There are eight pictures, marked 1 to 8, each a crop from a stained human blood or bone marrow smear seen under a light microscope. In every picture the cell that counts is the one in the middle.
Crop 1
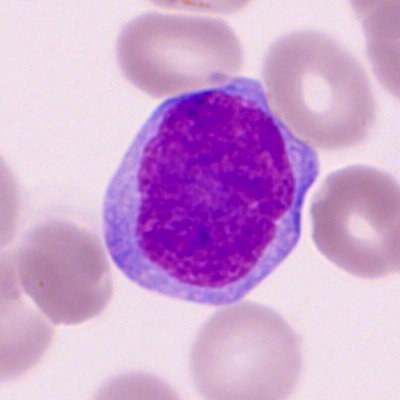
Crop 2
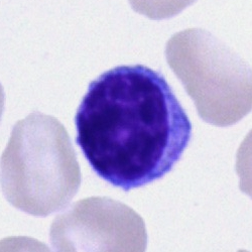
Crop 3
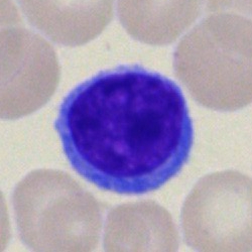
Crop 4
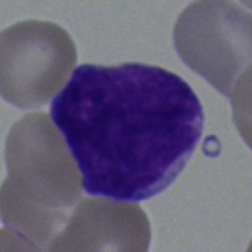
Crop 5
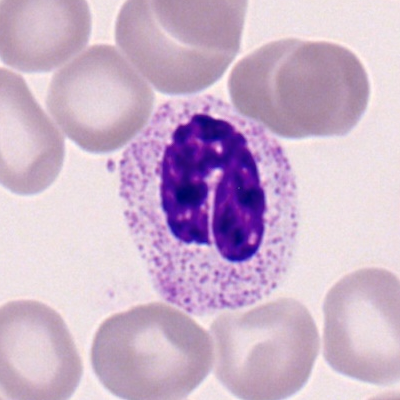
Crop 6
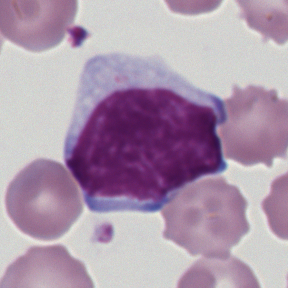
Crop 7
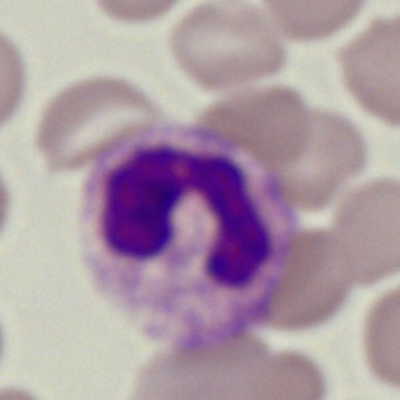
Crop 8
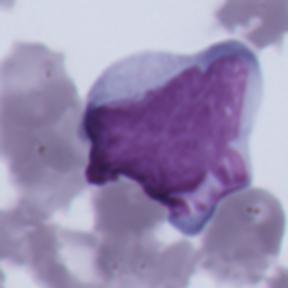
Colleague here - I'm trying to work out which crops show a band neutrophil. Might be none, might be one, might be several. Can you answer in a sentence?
The centrally placed cells in crops 5 and 7 are band neutrophils.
